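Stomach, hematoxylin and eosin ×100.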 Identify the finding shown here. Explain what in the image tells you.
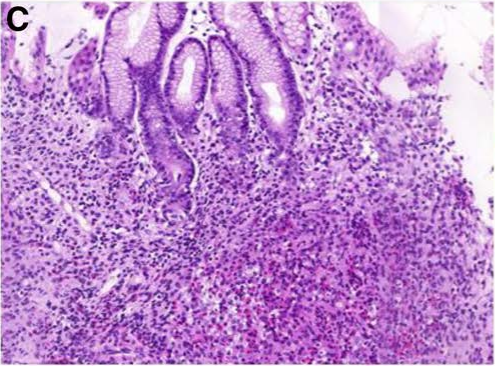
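Many cells with bright red cytoplasm crowd the lower half of the mucosa. Glands with pale mucinous cells sit at the top.
Hence: large numbers of eosinophil cells.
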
